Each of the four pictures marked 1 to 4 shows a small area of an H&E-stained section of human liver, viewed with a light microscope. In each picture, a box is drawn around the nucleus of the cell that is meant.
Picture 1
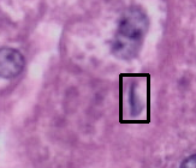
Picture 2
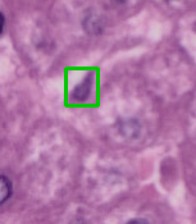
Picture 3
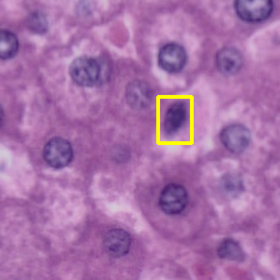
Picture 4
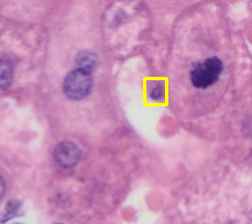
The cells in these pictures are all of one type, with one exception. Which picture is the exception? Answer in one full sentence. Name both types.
All pictures except 1 show Kupffer cells; picture 1 shows an endothelial cell.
